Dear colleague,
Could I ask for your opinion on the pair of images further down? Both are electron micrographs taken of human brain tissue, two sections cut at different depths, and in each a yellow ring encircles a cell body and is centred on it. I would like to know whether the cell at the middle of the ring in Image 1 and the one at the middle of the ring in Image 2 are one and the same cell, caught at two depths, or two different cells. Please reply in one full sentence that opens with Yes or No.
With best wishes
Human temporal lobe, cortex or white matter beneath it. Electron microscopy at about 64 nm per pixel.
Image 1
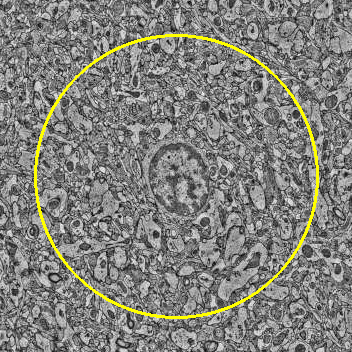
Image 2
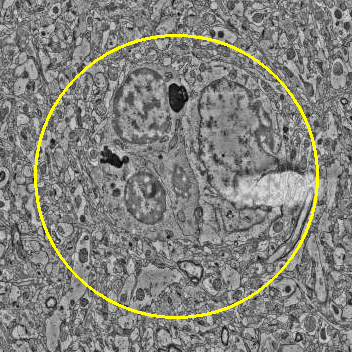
No, the pair of rings marks a pair of different cells.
